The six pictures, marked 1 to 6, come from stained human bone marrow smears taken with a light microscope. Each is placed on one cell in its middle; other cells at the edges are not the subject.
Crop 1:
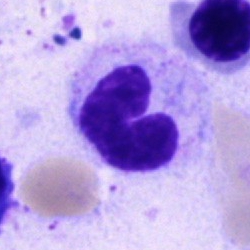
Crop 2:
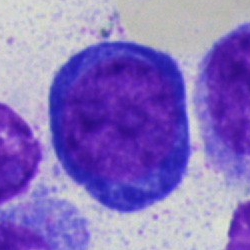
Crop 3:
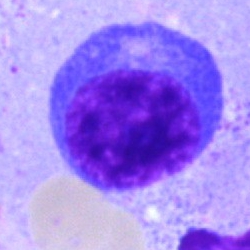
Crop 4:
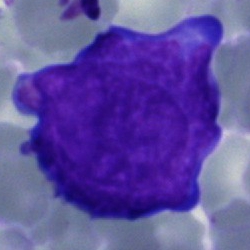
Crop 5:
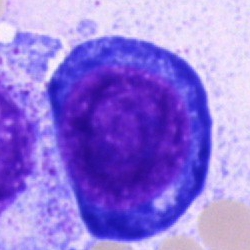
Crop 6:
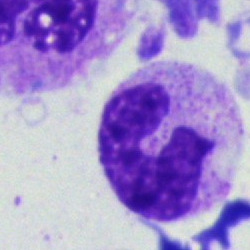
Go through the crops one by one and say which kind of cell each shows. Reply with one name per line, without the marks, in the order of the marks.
band neutrophil
proerythroblast
plasma cell
proerythroblast
proerythroblast
band neutrophil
